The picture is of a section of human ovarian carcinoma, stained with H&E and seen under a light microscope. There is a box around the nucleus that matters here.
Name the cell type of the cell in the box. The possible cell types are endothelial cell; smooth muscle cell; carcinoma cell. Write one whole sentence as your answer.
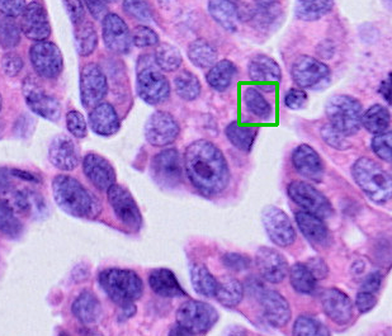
Speaking plainly, the cell in the box is nothing other than a carcinoma cell.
